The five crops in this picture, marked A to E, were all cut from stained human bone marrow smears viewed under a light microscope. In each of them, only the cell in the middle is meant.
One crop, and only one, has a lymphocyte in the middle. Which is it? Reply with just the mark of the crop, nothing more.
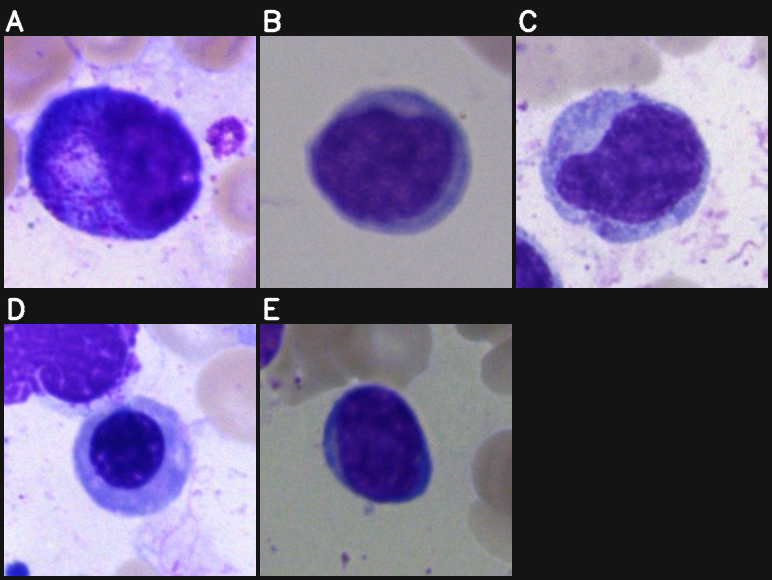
E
